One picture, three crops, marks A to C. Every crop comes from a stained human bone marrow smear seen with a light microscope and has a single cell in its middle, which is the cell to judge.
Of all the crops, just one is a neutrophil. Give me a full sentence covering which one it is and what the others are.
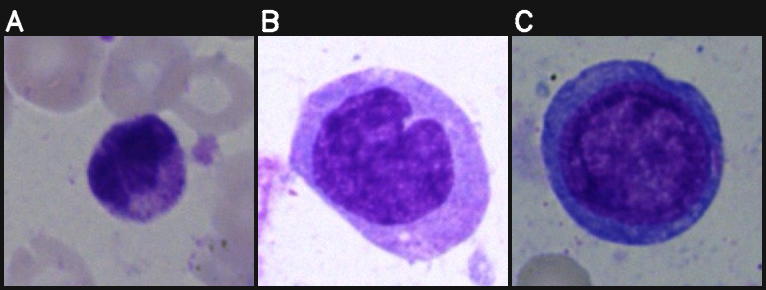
Crop A represents a neutrophil, while crop B is a monocyte and crop C is a blast.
